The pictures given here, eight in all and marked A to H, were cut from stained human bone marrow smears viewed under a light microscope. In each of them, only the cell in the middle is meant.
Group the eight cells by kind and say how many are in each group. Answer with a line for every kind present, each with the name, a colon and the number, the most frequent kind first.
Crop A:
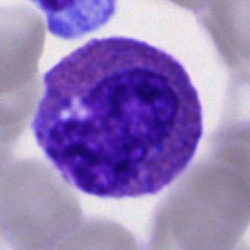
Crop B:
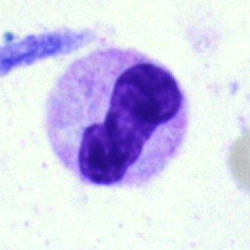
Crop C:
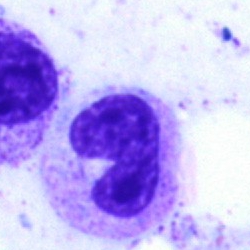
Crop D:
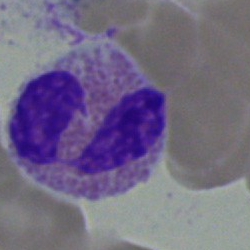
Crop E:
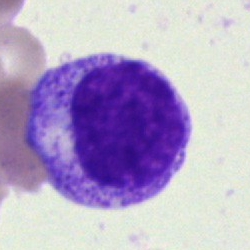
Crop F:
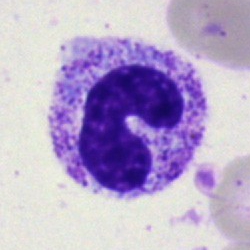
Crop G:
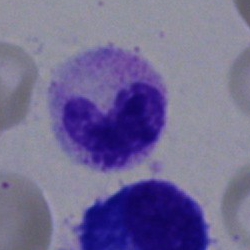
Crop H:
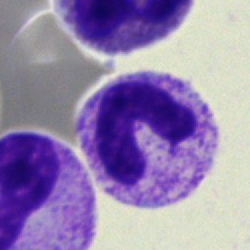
band neutrophil: 5
eosinophil: 2
myelocyte: 1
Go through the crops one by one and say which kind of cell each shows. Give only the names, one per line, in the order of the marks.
eosinophil
band neutrophil
band neutrophil
eosinophil
myelocyte
band neutrophil
band neutrophil
band neutrophil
